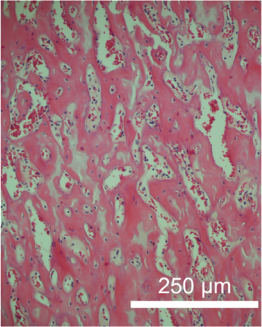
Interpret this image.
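Bone marrow compartment occupied by a dense network of pink-staining bone matrix. Many small nuclei lie scattered within the matrix. The remaining spaces are narrow, elongated channels holding red blood cells and a few nucleated cells. Broad areas of marrow cells are absent.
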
